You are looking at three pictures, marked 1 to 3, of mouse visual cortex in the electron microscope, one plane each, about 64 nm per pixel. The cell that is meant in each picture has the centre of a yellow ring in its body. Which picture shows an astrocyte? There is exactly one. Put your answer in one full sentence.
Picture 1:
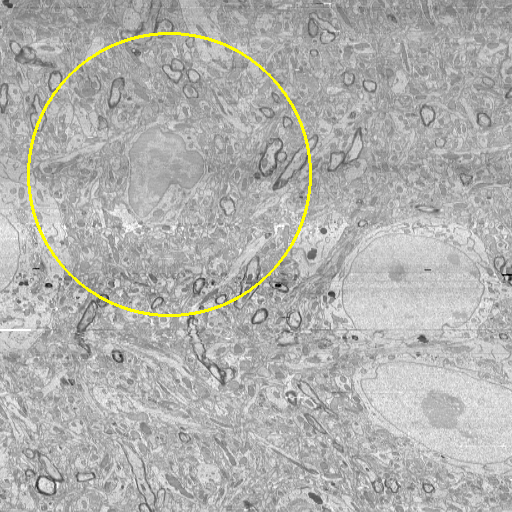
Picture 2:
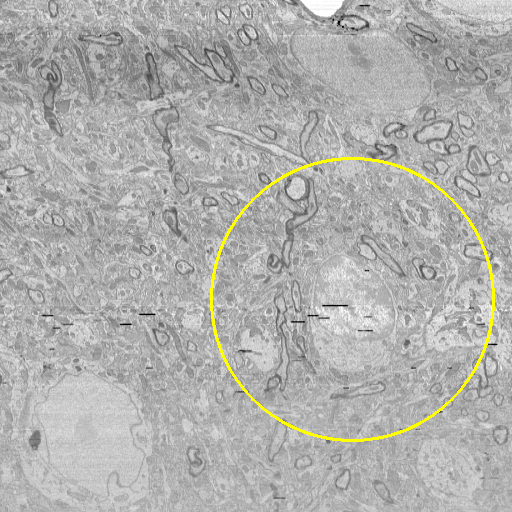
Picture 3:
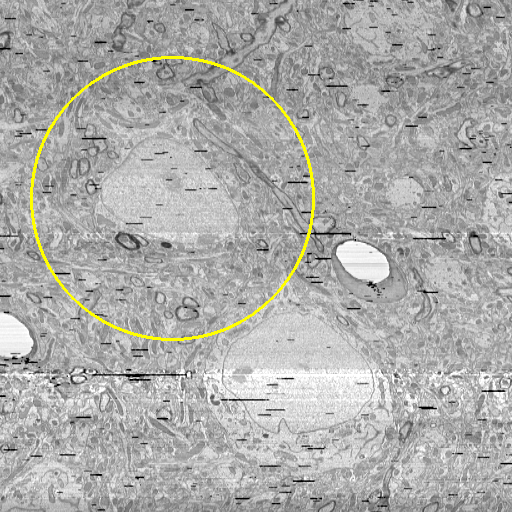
The astrocyte is the one in picture 3.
